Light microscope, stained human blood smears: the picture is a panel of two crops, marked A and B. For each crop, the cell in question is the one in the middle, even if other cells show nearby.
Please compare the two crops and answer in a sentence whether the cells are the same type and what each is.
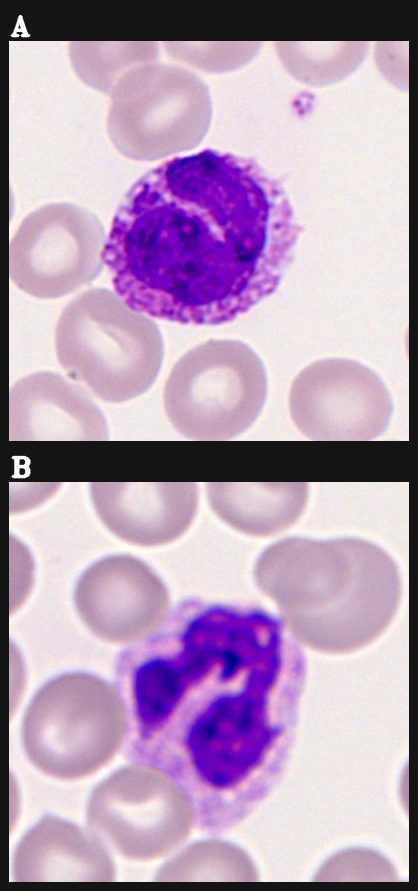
Yes, both crops show basophils in the middle.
